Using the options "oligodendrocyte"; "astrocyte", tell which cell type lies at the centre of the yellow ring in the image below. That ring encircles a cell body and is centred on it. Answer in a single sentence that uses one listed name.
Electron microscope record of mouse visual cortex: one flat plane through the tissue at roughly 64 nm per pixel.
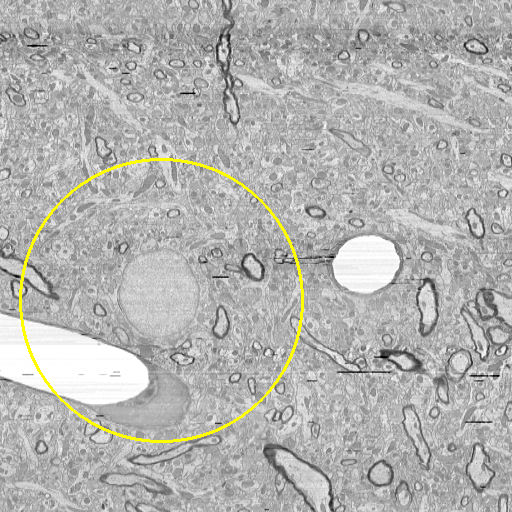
At the centre of the yellow ring lies the body of an astrocyte.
